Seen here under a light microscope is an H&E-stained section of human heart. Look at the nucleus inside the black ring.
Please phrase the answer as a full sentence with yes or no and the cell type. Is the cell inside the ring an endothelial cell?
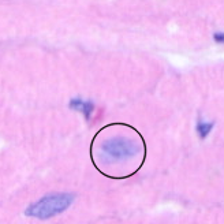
No, the identity of the cell inside the ring is a cardiomyocyte, not an endothelial cell.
